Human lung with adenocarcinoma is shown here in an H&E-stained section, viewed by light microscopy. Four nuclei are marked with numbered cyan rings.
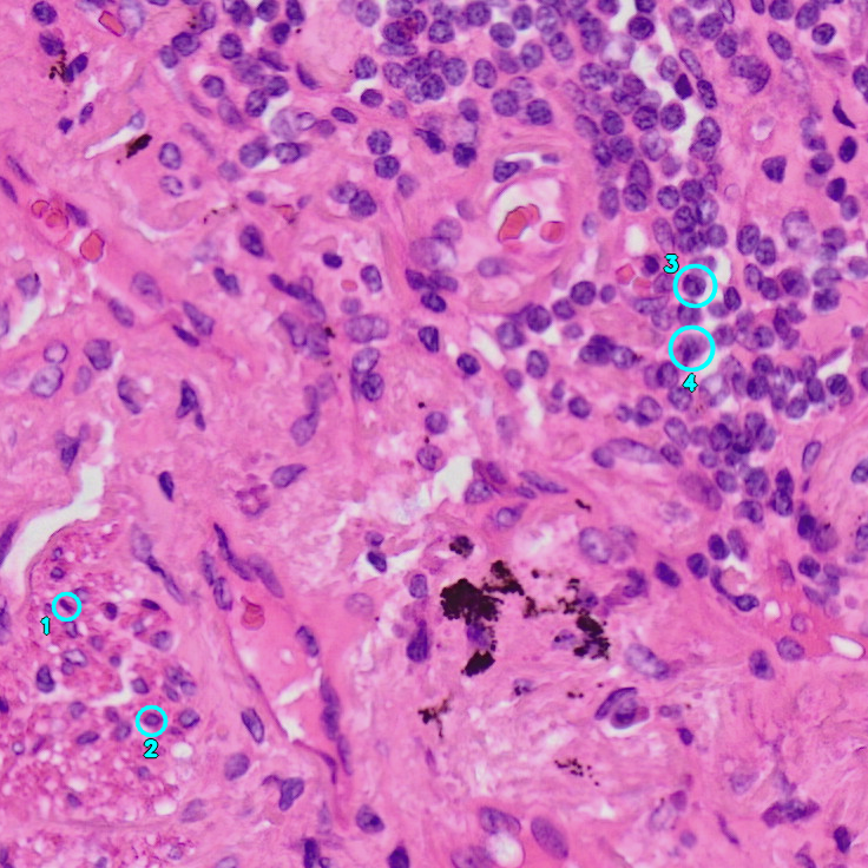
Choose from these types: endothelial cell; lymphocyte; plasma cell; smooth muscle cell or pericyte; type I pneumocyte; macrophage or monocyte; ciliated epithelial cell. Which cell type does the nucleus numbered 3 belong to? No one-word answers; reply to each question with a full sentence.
In this section, number 3 marks a lymphocyte.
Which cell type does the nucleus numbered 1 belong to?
The cell identified by number 1 is a smooth muscle cell or pericyte.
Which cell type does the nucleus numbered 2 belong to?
The marked nucleus 2 is that of a smooth muscle cell or pericyte.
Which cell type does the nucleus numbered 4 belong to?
Regarding cell 4, this one is a lymphocyte.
